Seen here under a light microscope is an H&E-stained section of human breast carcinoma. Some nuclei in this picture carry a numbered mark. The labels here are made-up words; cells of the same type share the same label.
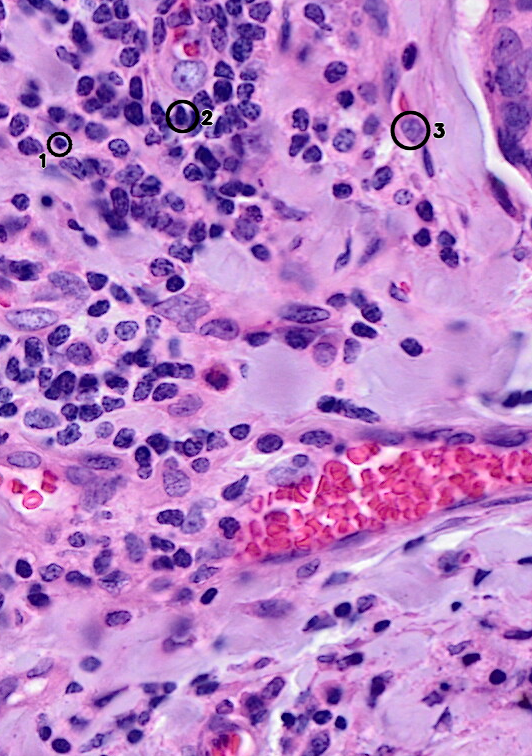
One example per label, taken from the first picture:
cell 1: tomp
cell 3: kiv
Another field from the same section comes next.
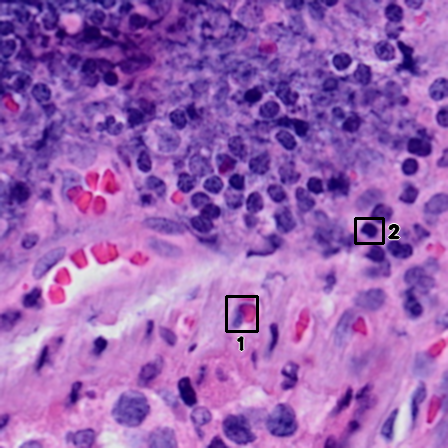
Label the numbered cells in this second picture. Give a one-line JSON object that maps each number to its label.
{"1": "kiv", "2": "tomp"}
